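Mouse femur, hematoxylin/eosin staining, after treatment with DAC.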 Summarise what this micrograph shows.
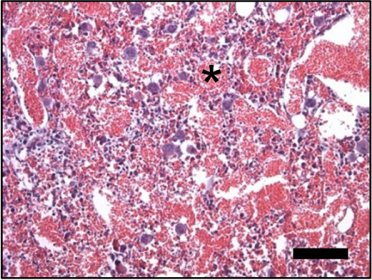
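This is bone marrow in which large, confluent pools of pink-red erythrocytes fill much of the space, a picture of bleeding. The purple-nucleated hematopoietic cells are thinned out and lie in islands and strands between the red areas. Several large cells with abundant pale pink-purple cytoplasm stand out among the smaller marrow cells. The normal dense cellular pattern is broken up by the blood-filled spaces.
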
